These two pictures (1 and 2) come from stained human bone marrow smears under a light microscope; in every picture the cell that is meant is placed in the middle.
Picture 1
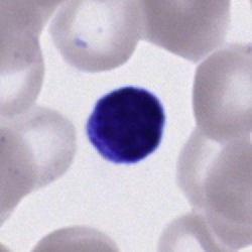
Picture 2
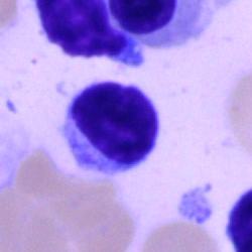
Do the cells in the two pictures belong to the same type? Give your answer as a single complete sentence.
Yes; the cells in both pictures are lymphocytes.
